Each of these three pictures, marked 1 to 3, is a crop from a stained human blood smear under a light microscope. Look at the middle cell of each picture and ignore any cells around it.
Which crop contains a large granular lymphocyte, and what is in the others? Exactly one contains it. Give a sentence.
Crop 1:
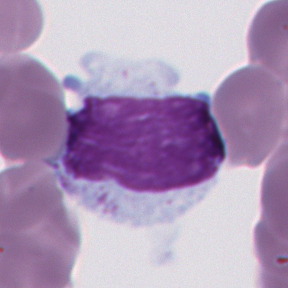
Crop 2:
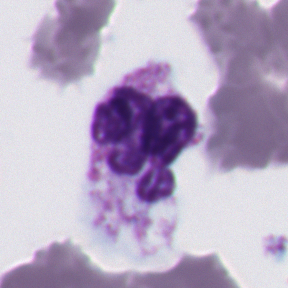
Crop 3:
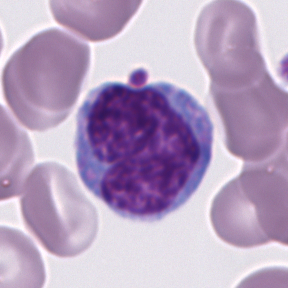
Crop 1 represents a large granular lymphocyte, while crop 2 is a segmented neutrophil and crop 3 is a monocyte.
